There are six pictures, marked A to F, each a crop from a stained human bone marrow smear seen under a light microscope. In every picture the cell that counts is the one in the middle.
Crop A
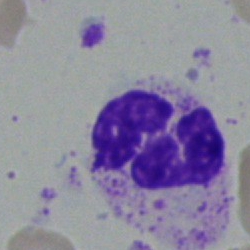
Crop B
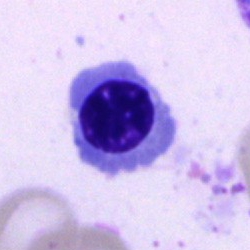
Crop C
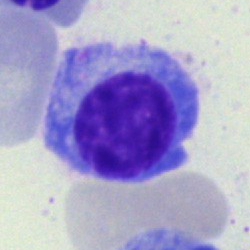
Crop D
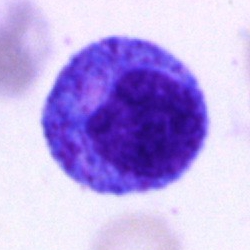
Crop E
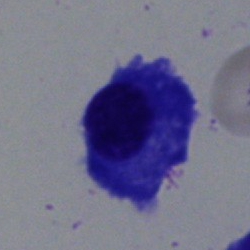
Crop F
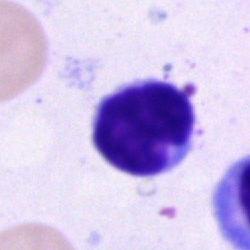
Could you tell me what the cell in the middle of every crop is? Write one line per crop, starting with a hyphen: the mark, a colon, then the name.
- A: basophil
- B: erythroblast
- C: plasma cell
- D: promyelocyte
- E: plasma cell
- F: lymphocyte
